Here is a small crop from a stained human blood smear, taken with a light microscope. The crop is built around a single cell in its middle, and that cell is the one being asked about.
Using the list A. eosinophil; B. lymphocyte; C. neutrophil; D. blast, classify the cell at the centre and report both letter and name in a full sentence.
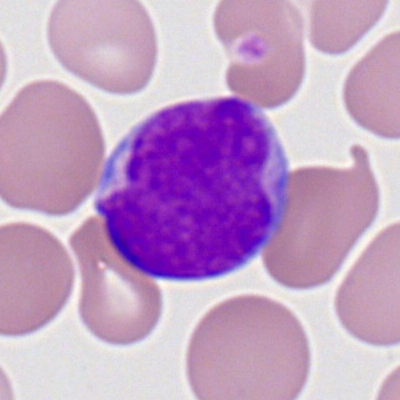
The one to choose is option D, as the cell in the middle is a blast.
